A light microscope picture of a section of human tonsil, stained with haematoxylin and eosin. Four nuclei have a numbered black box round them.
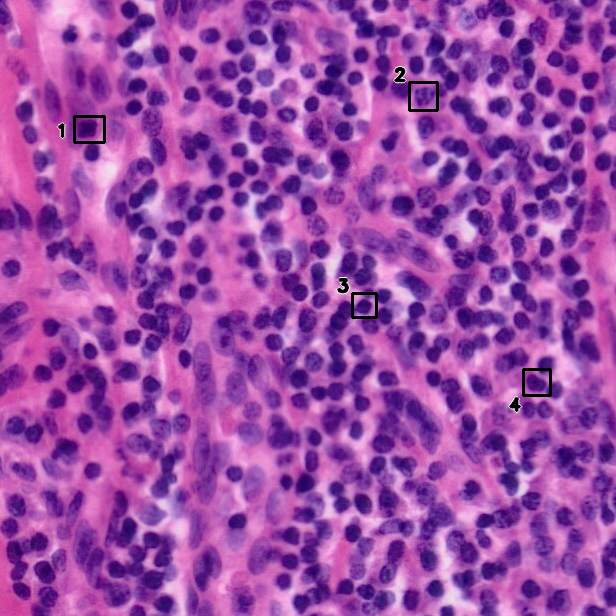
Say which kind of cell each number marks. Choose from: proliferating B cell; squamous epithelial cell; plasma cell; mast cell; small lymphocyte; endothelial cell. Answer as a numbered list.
1. endothelial cell
2. plasma cell
3. small lymphocyte
4. plasma cell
